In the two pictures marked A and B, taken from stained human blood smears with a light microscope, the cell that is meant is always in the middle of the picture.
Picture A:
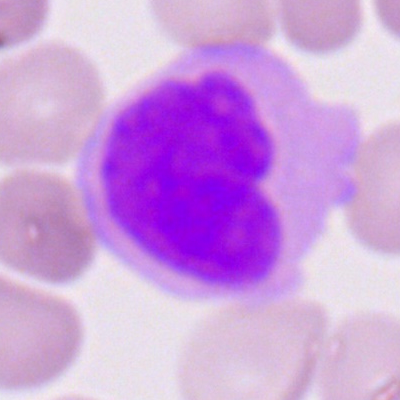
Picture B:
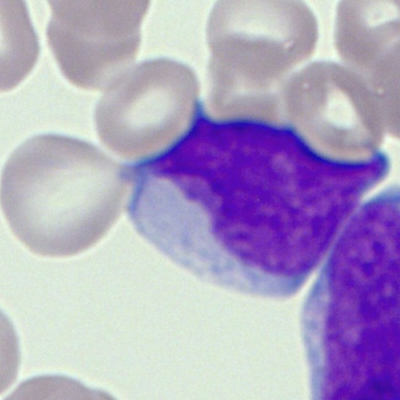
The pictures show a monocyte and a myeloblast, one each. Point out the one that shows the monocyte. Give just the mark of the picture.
A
